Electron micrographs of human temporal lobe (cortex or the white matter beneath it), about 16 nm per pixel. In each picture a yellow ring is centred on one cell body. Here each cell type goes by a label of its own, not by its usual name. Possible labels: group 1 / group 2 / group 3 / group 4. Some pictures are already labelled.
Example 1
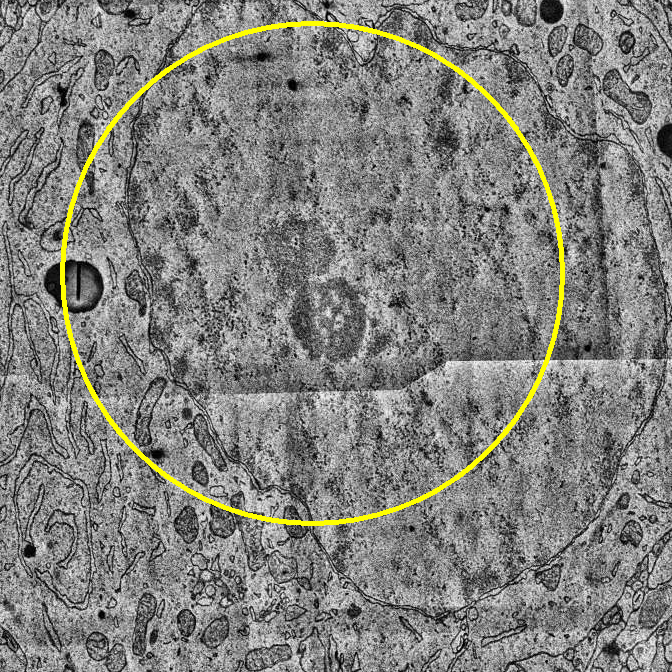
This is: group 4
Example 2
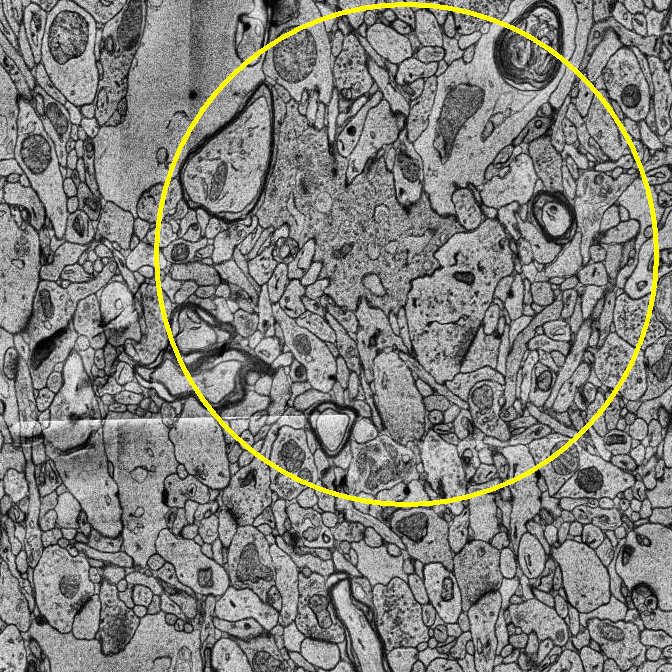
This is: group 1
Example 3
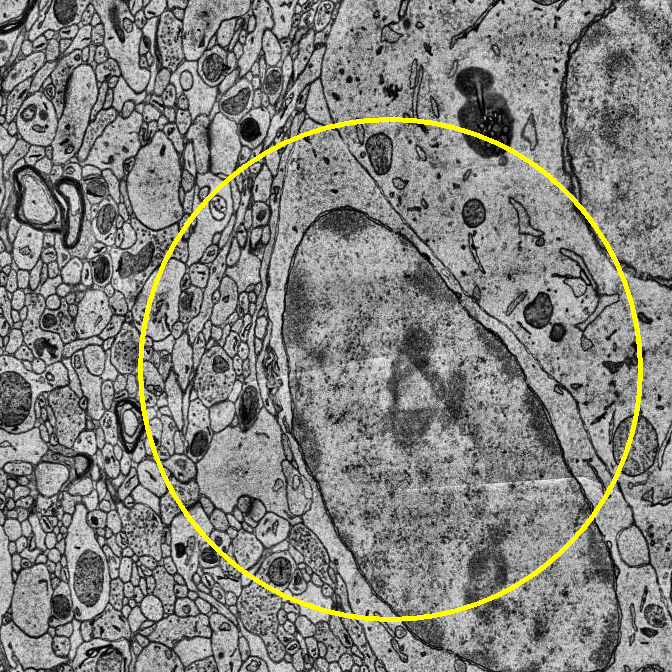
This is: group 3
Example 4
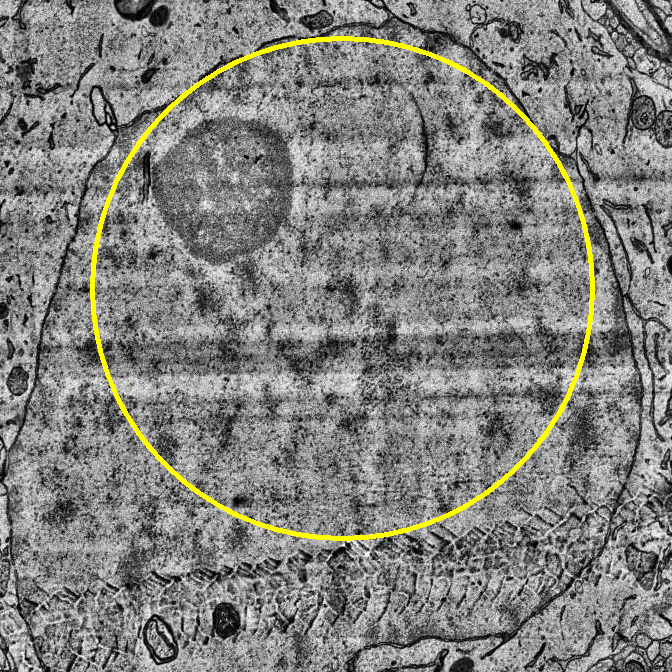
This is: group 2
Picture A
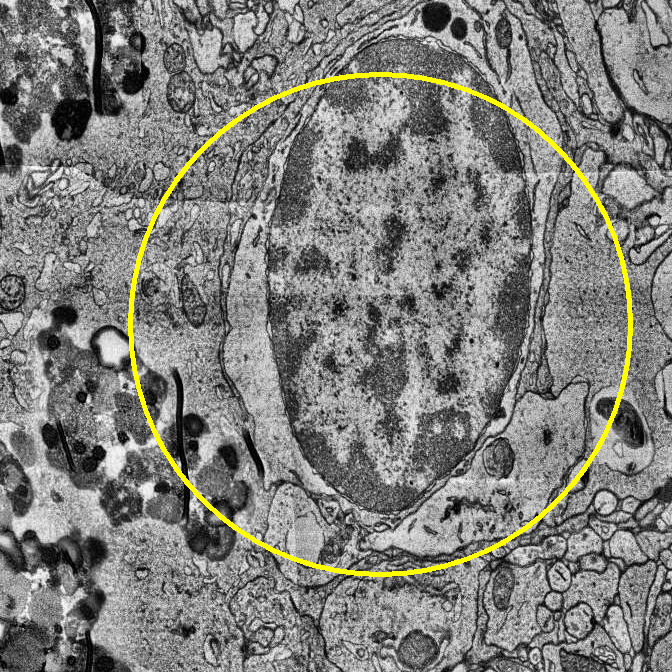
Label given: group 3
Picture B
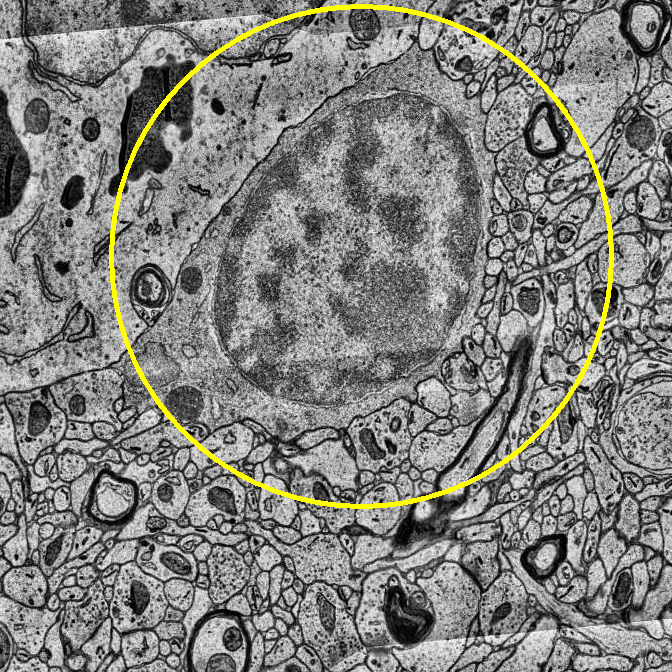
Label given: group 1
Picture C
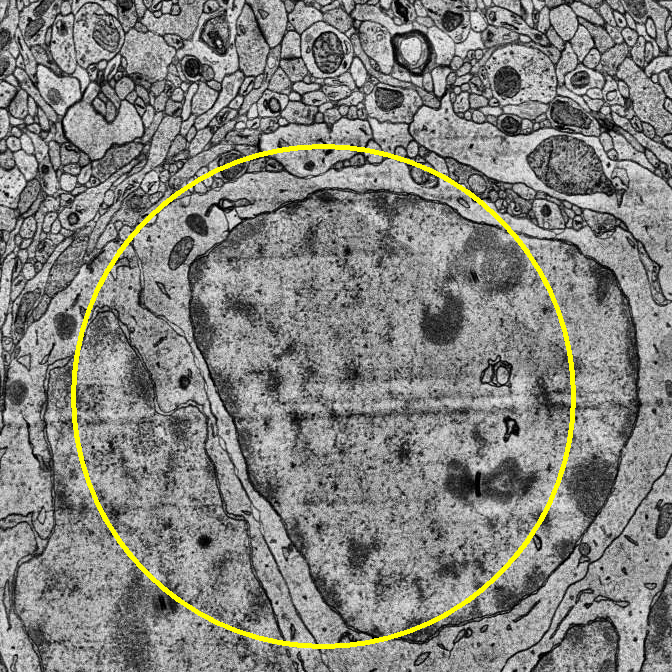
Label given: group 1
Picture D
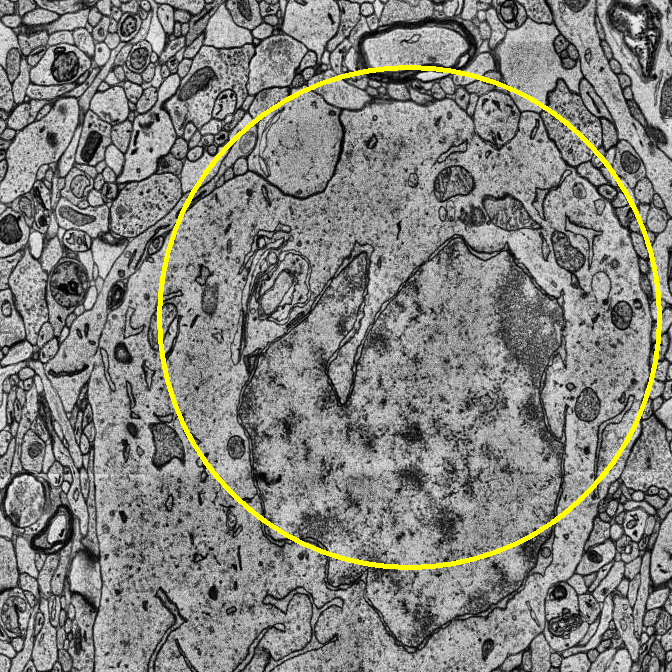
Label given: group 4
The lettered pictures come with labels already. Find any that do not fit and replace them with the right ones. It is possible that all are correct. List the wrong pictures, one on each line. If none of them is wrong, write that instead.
C should be group 3, not group 1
